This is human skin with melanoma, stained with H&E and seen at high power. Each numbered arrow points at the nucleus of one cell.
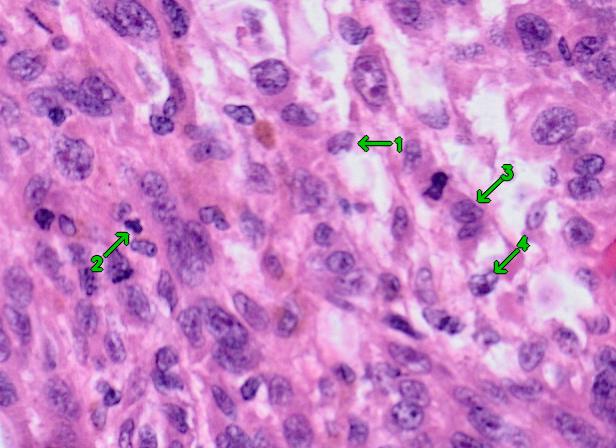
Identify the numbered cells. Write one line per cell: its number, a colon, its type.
1: melanoma cell
2: lymphocyte
3: melanoma cell
4: melanoma cell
